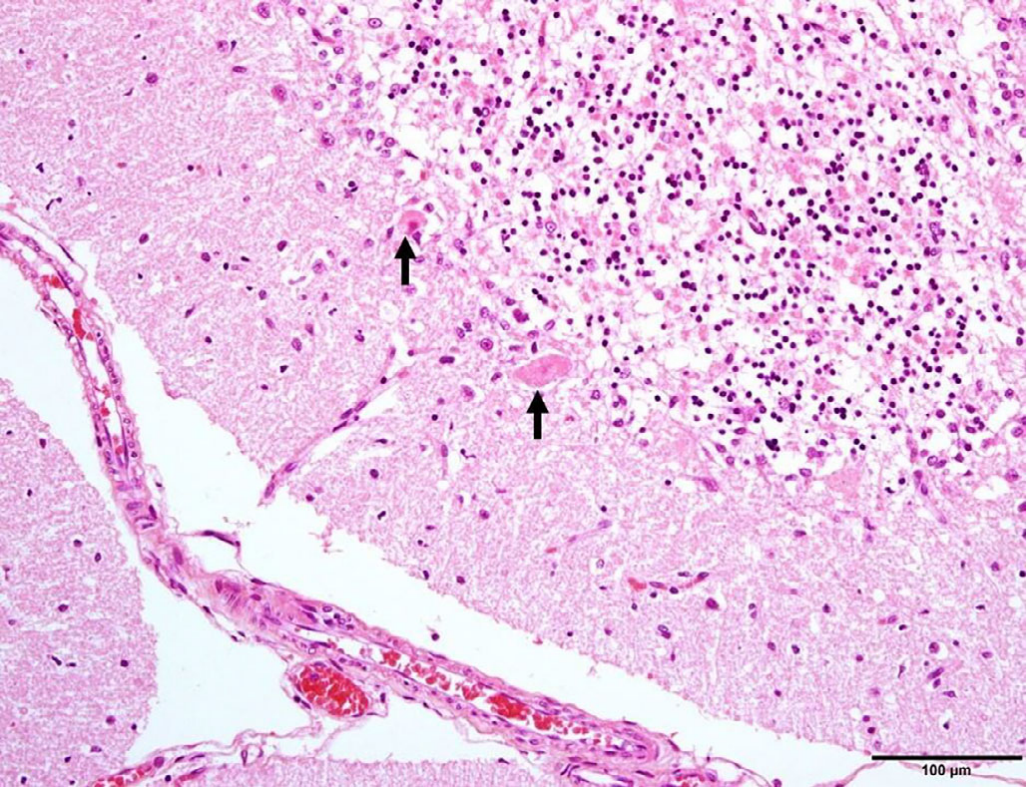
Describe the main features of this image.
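This is cerebellar cortex with a pale, finely fibrillar molecular layer and a granular layer packed with small, round, dark nuclei. A pia-lined space with blood-filled vessels runs between the folds. The granular layer is riddled with clear vacuoles, and its nuclei are small, condensed and unevenly spaced. At the junction of the two layers, large neurons appear as shrunken, intensely pink bodies without a clear nucleus, consistent with necrotic Purkinje cells.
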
